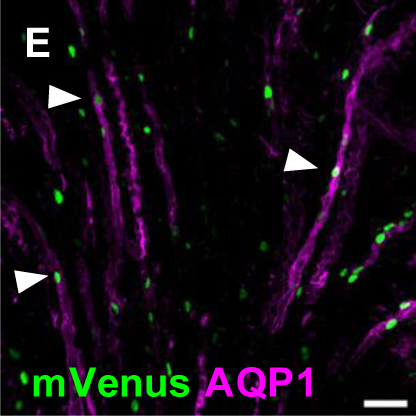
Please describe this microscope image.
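The vessels run diagonally in bundles across the field as thin tubes. Scattered small oval green nuclei lie throughout the field, some elongated along the vessel axis; a few sit within the magenta vessel walls, marked by arrowheads, while most lie in the spaces between vessels. The green nuclei are sparse relative to the tissue, and the background between vessels is dark.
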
